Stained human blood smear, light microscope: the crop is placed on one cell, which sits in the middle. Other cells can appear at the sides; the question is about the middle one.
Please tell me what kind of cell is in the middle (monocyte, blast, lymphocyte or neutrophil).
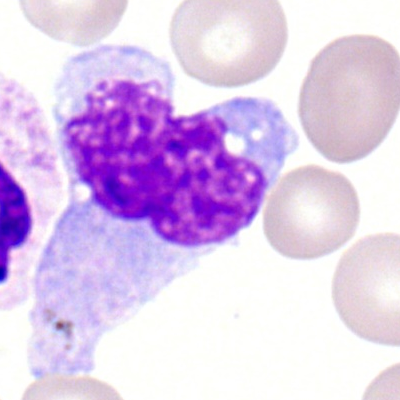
monocyte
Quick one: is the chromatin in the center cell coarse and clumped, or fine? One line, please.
No coarse chromatin clumps are present; the pattern is fine.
